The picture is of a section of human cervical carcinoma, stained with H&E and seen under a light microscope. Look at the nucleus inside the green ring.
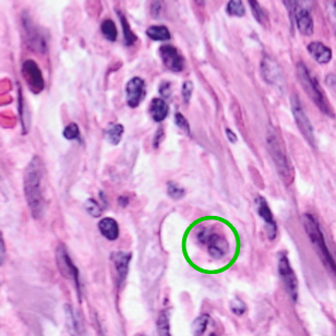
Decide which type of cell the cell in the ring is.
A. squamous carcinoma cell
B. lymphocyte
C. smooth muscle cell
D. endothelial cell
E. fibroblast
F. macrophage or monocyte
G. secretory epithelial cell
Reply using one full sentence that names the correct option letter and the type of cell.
Hey, it is option F: the cell in the ring is a macrophage or monocyte.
